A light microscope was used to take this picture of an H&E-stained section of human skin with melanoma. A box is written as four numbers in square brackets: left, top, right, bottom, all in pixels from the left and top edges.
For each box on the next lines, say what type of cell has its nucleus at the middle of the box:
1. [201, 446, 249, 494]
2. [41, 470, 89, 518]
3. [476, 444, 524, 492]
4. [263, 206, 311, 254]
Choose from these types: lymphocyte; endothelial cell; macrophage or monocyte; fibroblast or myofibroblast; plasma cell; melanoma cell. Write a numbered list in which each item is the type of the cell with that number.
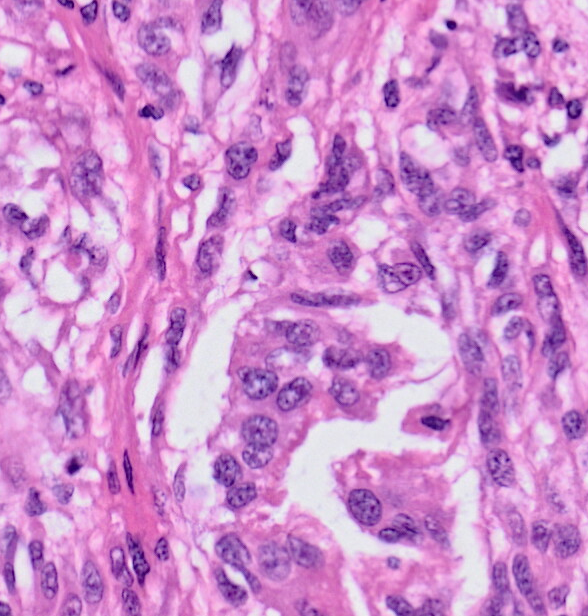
1. melanoma cell
2. macrophage or monocyte
3. melanoma cell
4. melanoma cell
